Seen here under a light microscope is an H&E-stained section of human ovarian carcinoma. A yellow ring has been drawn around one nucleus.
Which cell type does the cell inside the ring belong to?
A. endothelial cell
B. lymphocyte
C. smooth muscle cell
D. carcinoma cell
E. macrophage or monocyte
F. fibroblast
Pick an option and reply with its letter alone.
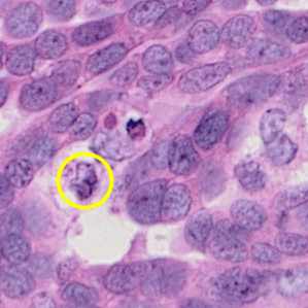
E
